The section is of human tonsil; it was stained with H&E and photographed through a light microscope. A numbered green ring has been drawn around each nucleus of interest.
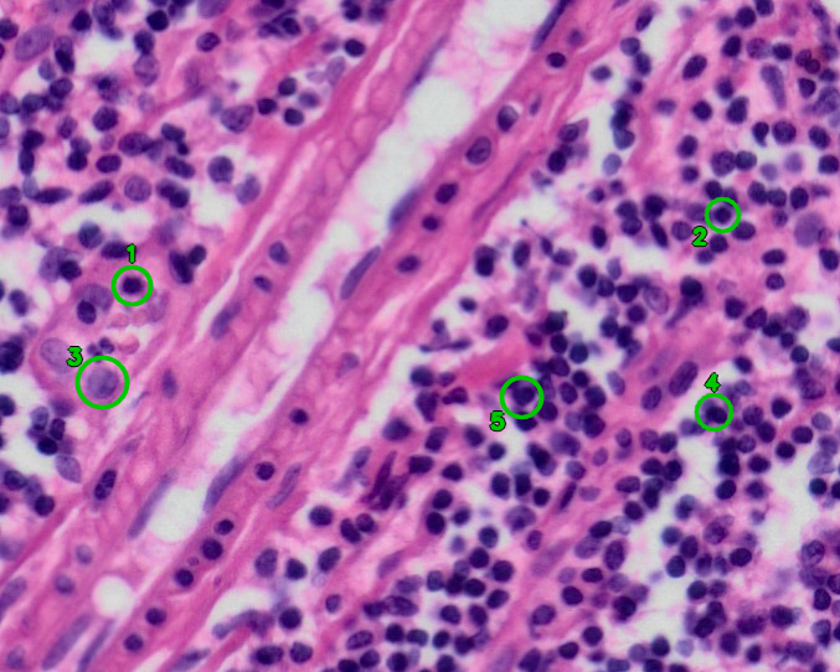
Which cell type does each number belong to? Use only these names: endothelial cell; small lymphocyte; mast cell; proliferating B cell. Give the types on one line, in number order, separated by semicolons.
endothelial cell; small lymphocyte; endothelial cell; small lymphocyte; small lymphocyte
